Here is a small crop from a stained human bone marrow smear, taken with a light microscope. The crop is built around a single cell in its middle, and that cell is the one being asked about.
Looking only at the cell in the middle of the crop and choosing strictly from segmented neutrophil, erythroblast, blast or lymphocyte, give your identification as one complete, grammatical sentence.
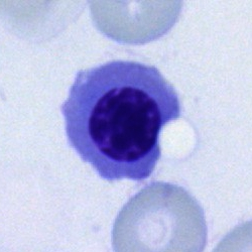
Here the centrally located cell is an erythroblast.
